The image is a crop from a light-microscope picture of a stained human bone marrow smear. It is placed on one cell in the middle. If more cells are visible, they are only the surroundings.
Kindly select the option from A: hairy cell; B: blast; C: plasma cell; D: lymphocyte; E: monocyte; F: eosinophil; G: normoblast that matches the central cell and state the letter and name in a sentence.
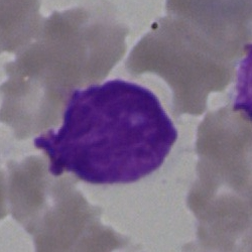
Correctly, option D names the cell in the middle a lymphocyte.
